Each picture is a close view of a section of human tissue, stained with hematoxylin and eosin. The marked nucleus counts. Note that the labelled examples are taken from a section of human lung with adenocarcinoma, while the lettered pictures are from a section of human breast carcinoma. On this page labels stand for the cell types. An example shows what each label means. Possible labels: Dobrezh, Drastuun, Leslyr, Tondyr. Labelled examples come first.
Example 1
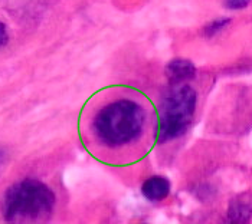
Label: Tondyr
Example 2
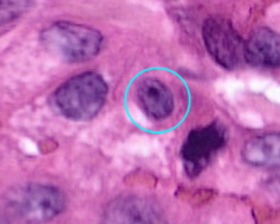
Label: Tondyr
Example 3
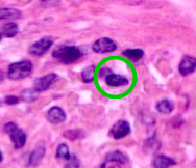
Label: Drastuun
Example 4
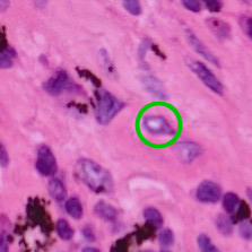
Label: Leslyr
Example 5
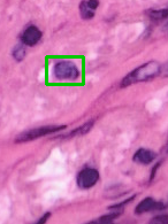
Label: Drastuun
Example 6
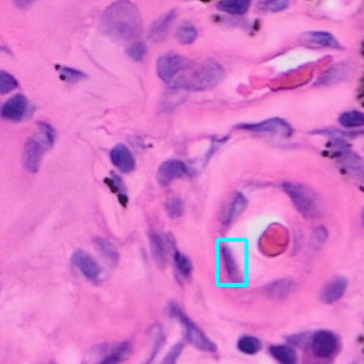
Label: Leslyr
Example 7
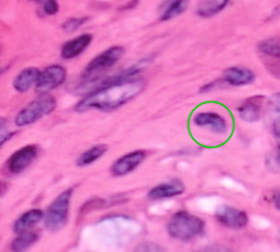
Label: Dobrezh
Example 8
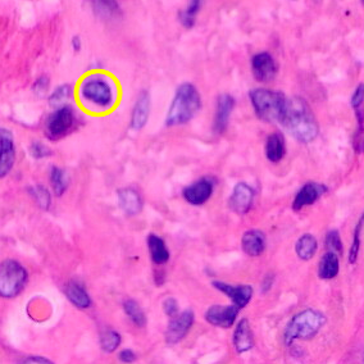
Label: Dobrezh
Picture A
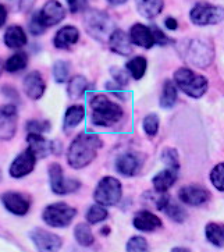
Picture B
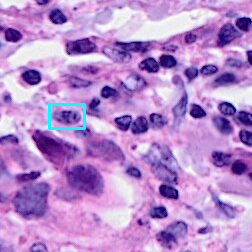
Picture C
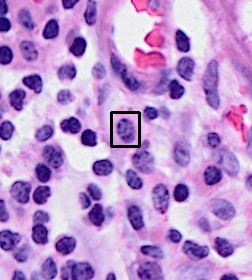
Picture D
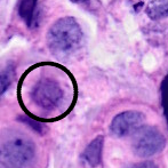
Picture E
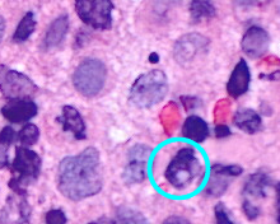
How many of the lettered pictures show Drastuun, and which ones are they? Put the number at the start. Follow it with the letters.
1, namely A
